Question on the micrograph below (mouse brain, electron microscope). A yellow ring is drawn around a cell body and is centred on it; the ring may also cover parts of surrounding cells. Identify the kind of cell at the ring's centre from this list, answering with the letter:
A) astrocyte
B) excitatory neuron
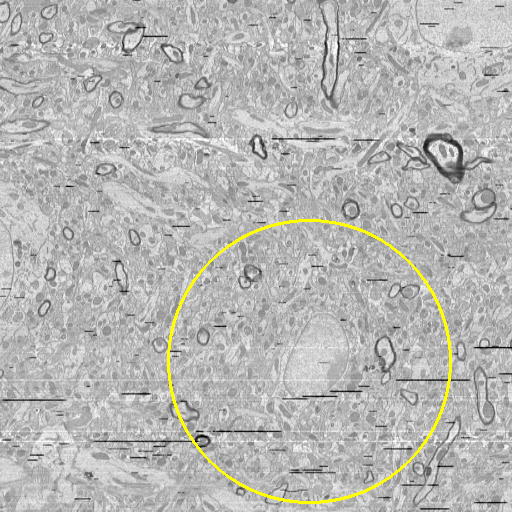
A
